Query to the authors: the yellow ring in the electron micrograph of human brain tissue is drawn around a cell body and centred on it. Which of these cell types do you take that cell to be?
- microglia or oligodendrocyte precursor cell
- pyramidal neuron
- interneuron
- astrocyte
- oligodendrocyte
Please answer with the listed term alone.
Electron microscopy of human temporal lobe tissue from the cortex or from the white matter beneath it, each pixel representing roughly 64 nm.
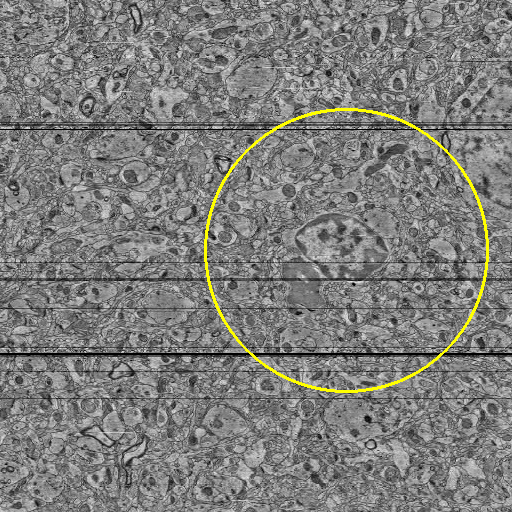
microglia or oligodendrocyte precursor cell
